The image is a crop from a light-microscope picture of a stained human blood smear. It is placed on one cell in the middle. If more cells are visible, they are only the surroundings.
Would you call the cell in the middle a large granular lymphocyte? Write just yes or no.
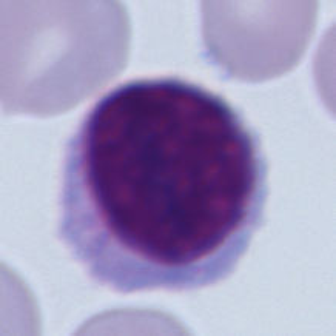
no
